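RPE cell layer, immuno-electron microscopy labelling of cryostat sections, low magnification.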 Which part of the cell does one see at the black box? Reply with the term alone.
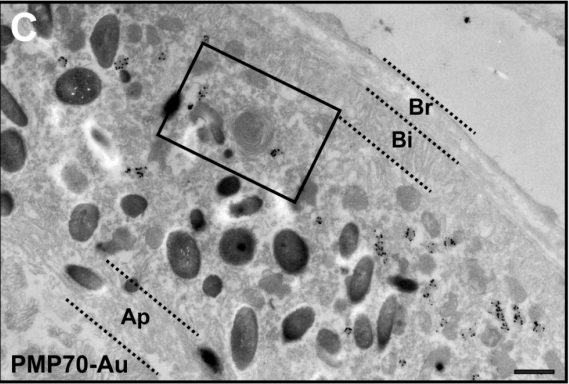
phagosome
